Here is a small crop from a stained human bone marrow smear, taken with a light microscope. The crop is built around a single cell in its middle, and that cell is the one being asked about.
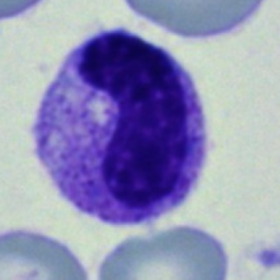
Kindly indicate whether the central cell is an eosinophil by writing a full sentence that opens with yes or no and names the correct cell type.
No, the central cell isn't an eosinophil, but a band neutrophil.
